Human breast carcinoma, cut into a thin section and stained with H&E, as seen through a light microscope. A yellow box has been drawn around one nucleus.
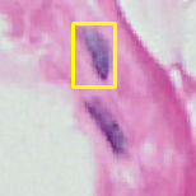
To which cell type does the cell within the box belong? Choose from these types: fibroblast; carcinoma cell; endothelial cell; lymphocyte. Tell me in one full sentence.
In cellular terms, the cell within the box is an endothelial cell.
